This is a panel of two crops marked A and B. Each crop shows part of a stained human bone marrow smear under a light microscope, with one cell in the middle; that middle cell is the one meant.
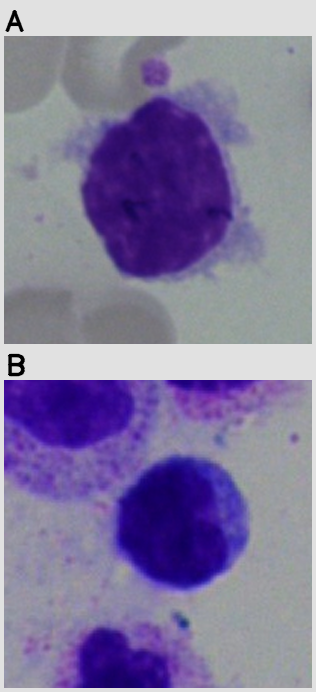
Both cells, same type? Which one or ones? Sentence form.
Yes, both crops show lymphocytes in the centre of the field.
